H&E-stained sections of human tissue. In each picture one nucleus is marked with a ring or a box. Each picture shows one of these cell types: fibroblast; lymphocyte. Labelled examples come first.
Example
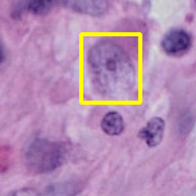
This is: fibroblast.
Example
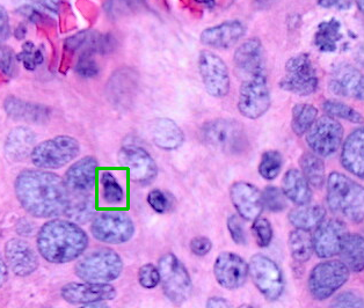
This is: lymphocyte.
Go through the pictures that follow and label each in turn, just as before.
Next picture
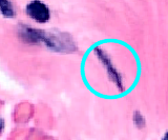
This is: fibroblast.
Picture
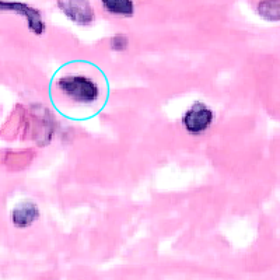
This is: lymphocyte.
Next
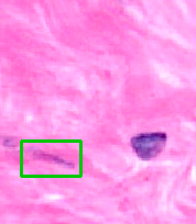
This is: fibroblast.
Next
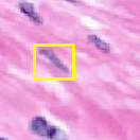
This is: fibroblast.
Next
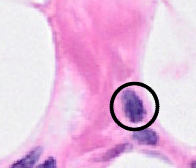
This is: lymphocyte.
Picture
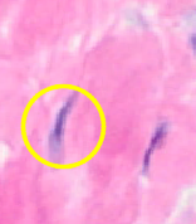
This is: fibroblast.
